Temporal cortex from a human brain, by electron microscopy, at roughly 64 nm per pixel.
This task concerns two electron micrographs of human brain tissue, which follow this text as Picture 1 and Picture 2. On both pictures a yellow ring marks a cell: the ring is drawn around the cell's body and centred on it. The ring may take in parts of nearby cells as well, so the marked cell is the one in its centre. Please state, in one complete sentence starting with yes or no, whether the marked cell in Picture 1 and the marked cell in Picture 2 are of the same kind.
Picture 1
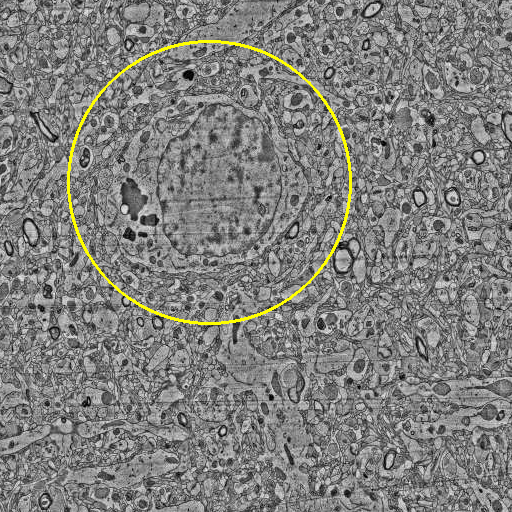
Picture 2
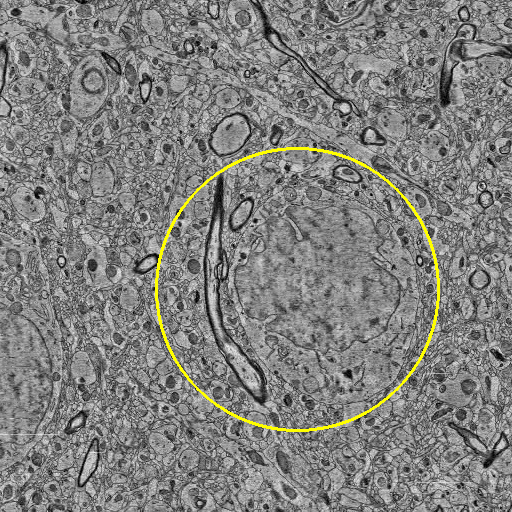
Yes, the marked cells in both pictures are of the same kind.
